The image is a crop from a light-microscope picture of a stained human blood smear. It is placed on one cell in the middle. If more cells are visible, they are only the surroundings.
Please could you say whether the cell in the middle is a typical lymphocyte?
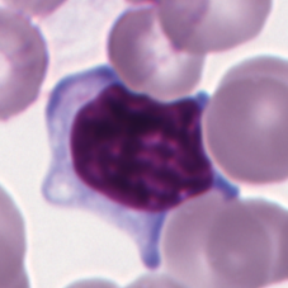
yes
